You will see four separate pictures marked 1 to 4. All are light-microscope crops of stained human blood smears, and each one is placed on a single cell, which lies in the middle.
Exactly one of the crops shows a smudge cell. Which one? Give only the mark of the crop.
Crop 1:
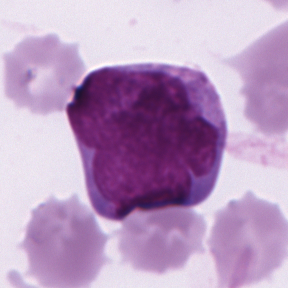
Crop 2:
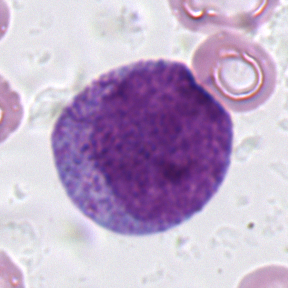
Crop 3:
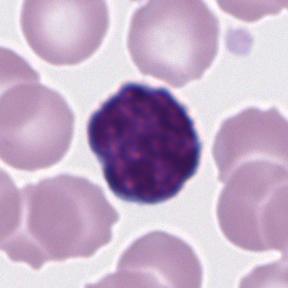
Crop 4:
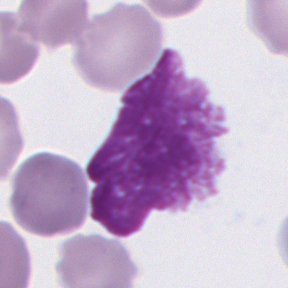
4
